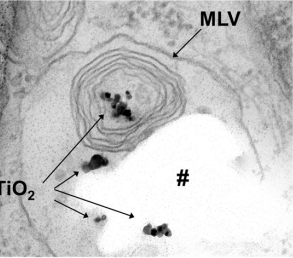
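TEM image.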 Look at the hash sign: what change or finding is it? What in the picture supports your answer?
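A hole in the ultrathin section. The marked area is blank white without any texture. Its edge is sharp and irregular, next to dense particles.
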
